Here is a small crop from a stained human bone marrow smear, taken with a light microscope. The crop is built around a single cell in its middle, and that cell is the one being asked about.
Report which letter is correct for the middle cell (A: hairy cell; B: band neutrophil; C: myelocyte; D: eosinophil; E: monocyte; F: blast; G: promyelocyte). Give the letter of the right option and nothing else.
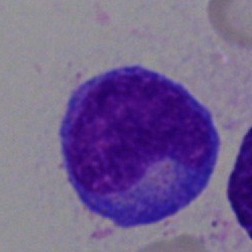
E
